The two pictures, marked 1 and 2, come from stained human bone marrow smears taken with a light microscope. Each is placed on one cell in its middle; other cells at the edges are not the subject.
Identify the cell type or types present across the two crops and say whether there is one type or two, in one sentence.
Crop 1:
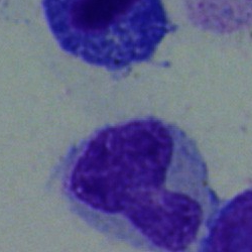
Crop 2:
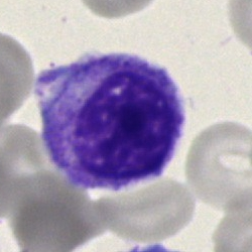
No, what crop 1 shows is a monocyte, and what crop 2 shows is a myelocyte.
